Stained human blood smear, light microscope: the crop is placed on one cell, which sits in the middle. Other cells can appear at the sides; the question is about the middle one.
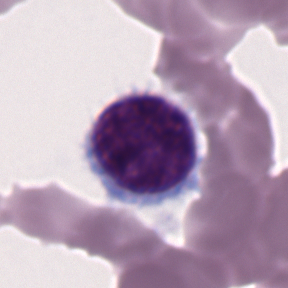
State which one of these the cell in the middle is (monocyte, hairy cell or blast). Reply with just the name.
hairy cell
